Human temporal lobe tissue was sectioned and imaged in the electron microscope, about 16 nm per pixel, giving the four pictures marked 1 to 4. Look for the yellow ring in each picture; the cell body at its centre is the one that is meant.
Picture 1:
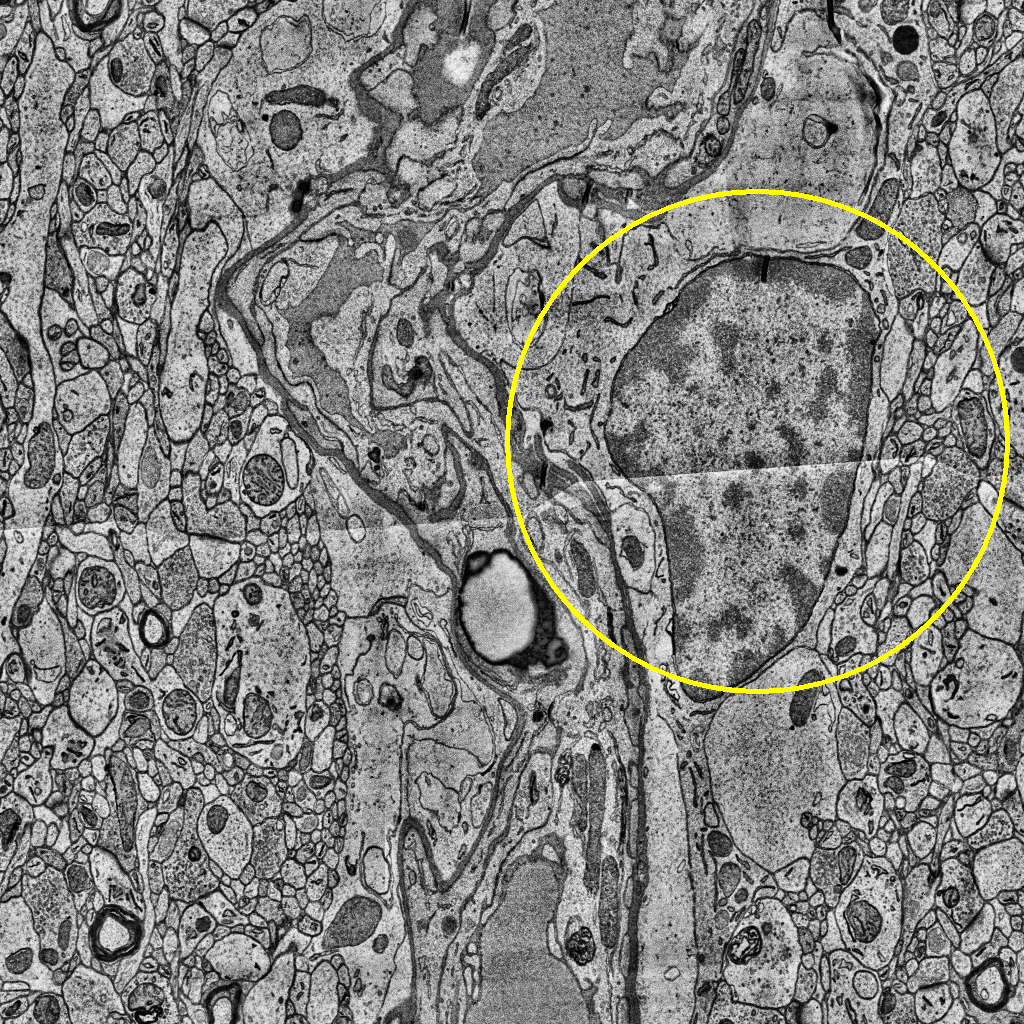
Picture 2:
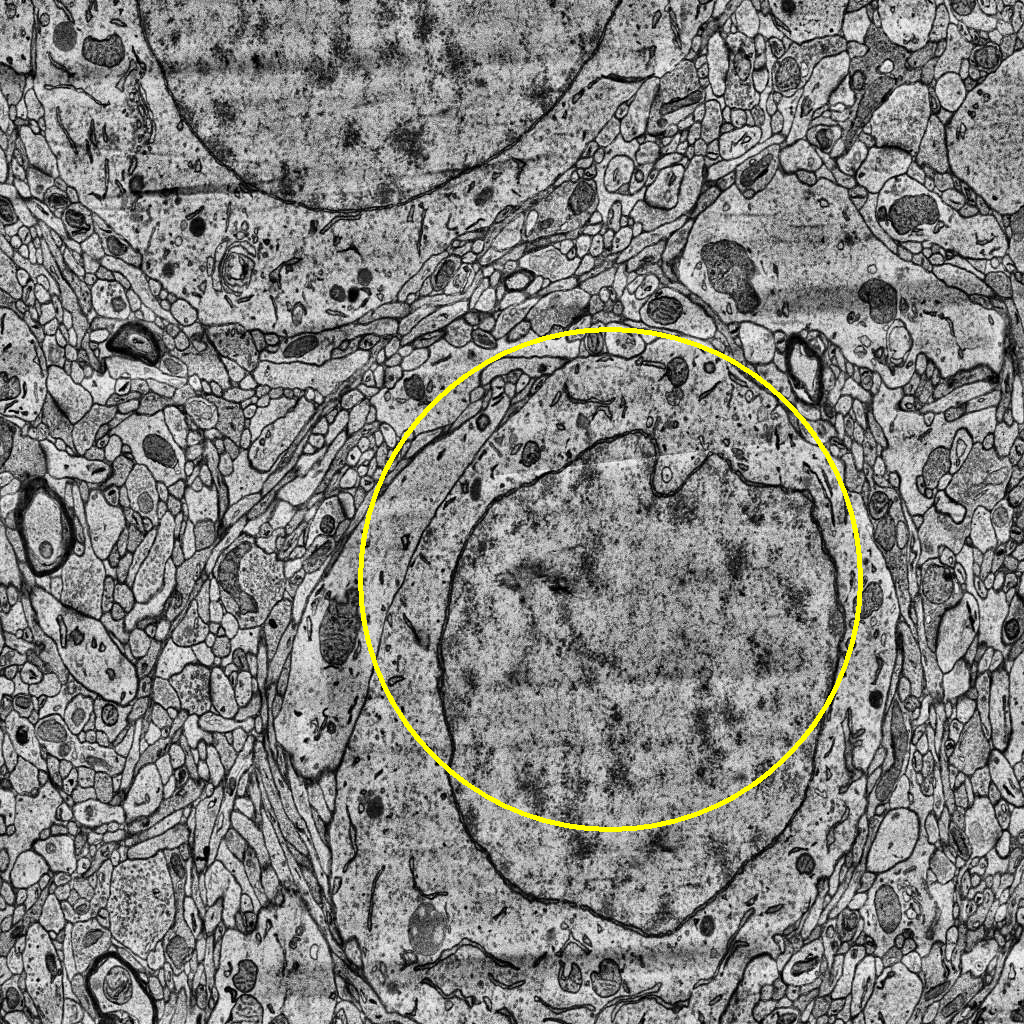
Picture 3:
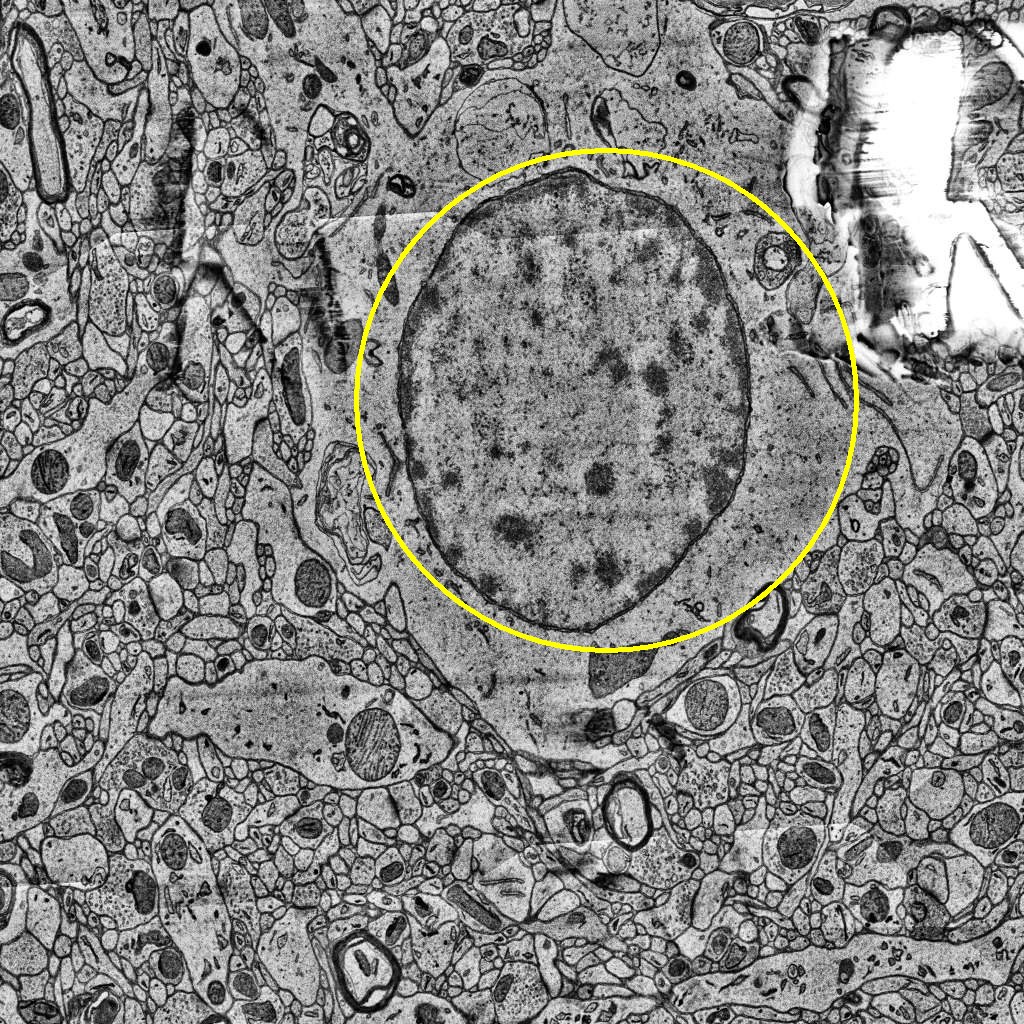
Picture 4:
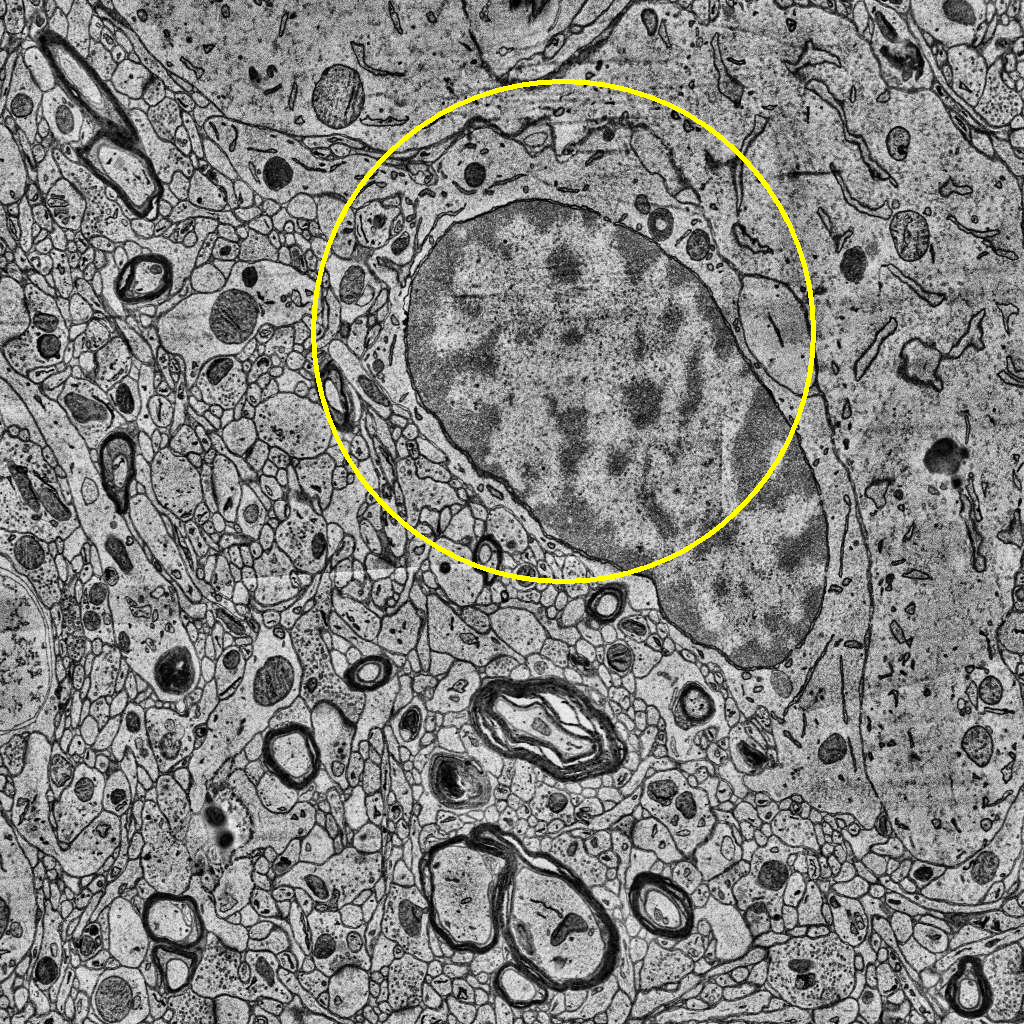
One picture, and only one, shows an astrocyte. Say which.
Picture 3 is the one that shows the astrocyte.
